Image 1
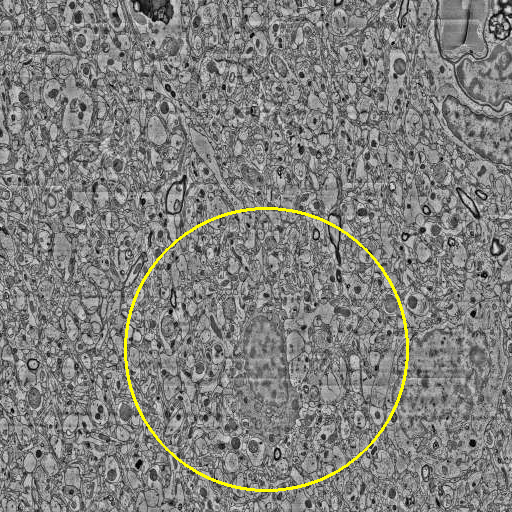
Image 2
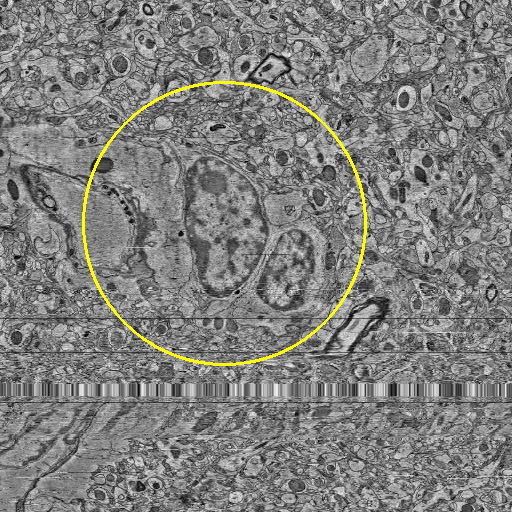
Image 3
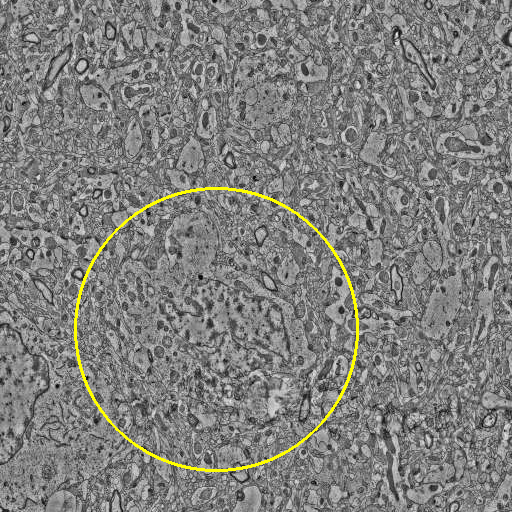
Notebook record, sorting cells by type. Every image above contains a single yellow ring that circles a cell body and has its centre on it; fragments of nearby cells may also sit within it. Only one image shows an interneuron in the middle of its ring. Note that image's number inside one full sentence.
For image 3, the cell in the middle of its yellow ring is the match.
